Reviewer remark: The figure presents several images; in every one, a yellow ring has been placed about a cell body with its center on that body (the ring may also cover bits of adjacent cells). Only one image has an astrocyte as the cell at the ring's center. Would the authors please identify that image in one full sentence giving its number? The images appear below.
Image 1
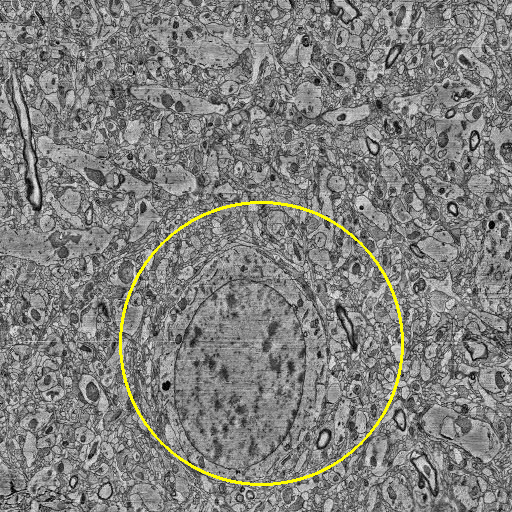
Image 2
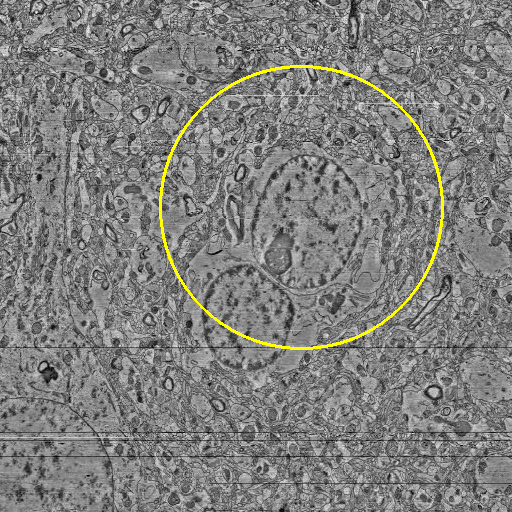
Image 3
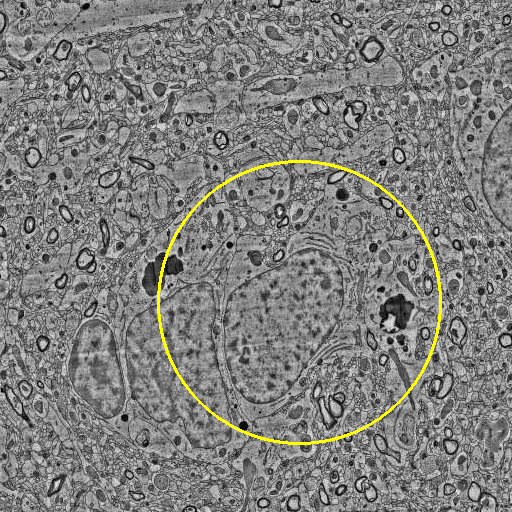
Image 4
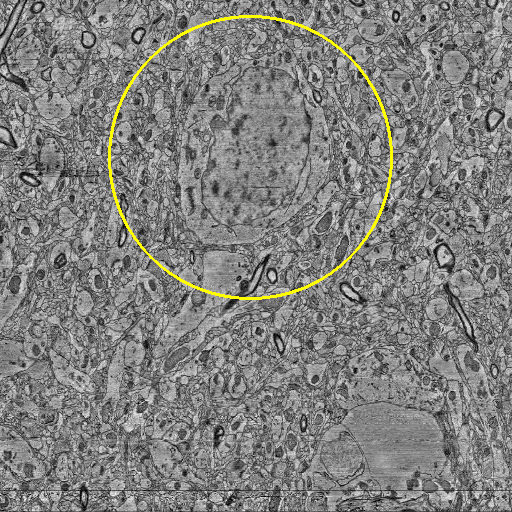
The ring's central cell in image 2 is the one the question describes.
